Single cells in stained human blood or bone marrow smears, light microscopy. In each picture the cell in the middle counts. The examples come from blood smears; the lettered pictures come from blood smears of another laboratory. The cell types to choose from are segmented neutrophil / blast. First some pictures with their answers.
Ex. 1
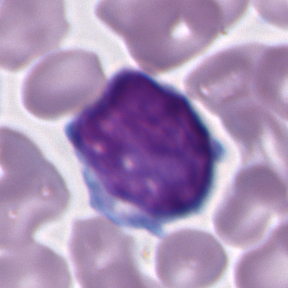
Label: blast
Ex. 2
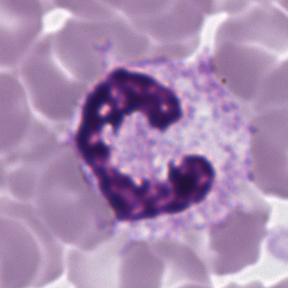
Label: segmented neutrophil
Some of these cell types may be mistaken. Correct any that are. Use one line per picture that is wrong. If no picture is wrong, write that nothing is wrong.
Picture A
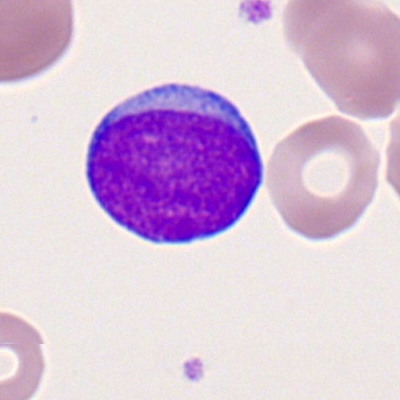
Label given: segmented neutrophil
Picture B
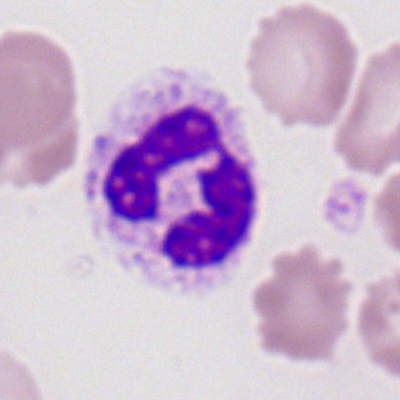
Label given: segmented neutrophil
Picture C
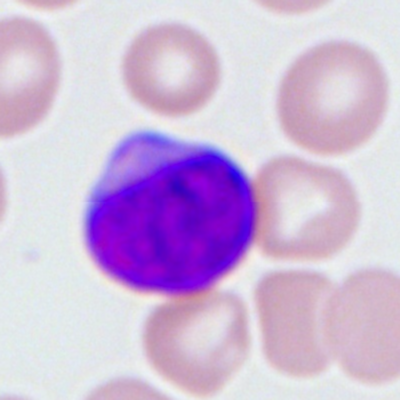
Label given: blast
A should be blast, not segmented neutrophil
